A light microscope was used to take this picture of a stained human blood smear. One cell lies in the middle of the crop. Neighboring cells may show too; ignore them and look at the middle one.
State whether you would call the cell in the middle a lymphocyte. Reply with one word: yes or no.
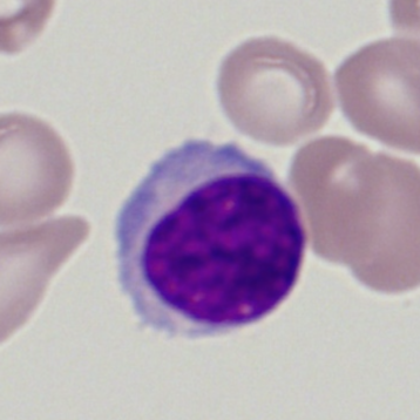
yes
